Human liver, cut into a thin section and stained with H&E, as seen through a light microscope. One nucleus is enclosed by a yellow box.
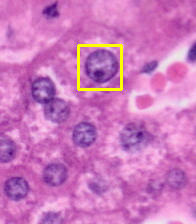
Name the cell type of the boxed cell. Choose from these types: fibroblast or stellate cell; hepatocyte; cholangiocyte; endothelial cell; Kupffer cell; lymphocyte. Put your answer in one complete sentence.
With respect to cell type, the boxed cell is a hepatocyte.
